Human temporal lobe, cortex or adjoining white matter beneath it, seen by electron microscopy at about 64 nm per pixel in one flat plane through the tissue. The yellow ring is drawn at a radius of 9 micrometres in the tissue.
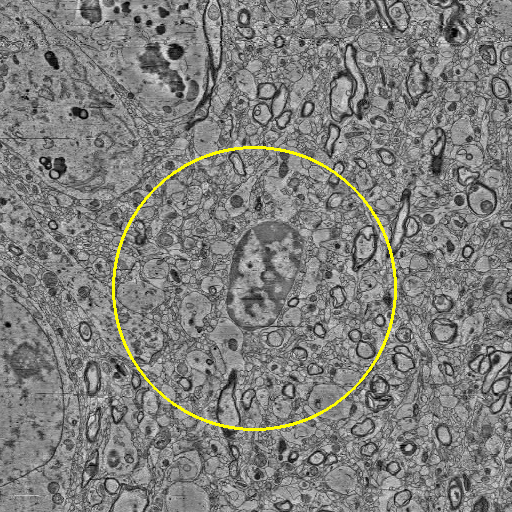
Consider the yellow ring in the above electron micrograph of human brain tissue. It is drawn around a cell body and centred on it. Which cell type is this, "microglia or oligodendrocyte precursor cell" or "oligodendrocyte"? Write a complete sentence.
The cell in question is a microglial cell or oligodendrocyte precursor cell.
